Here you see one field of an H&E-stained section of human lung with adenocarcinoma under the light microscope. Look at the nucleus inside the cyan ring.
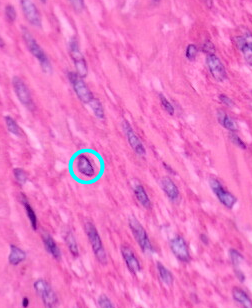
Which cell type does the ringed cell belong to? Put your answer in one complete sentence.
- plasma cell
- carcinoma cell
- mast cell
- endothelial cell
In this preparation, the ringed cell is a mast cell.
